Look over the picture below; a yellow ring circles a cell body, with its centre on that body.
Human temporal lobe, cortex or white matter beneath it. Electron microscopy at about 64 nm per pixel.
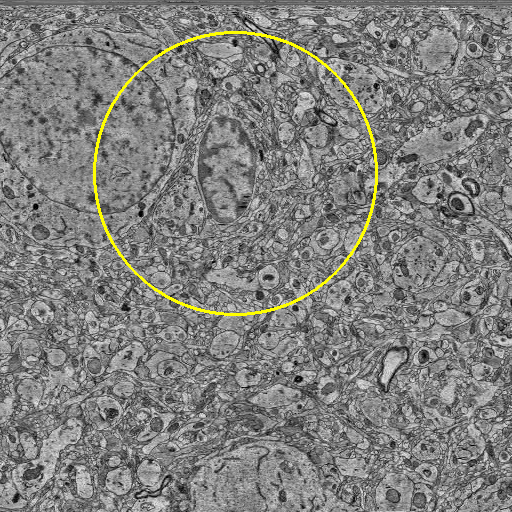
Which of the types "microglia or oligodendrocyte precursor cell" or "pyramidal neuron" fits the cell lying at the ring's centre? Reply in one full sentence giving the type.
The picture shows a microglial cell or oligodendrocyte precursor cell at the centre of the yellow ring.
